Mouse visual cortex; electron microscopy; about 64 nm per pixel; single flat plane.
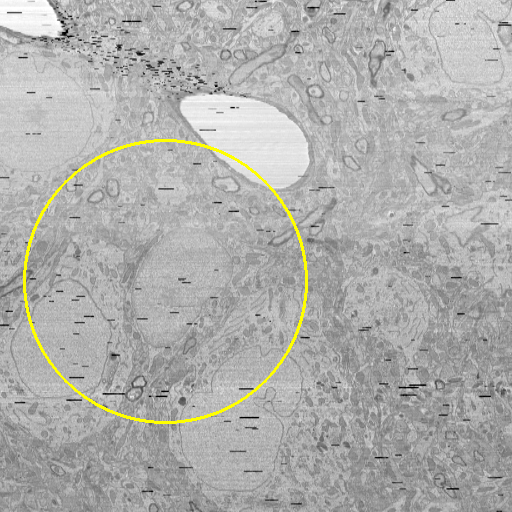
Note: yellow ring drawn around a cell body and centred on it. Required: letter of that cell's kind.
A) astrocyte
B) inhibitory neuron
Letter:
A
